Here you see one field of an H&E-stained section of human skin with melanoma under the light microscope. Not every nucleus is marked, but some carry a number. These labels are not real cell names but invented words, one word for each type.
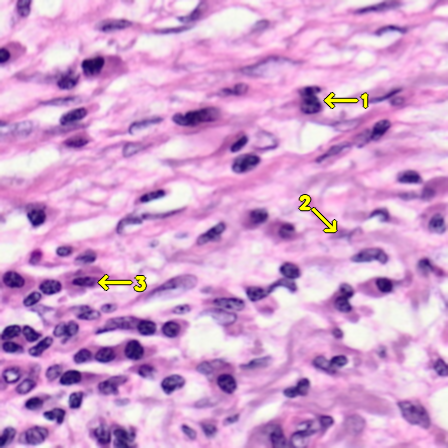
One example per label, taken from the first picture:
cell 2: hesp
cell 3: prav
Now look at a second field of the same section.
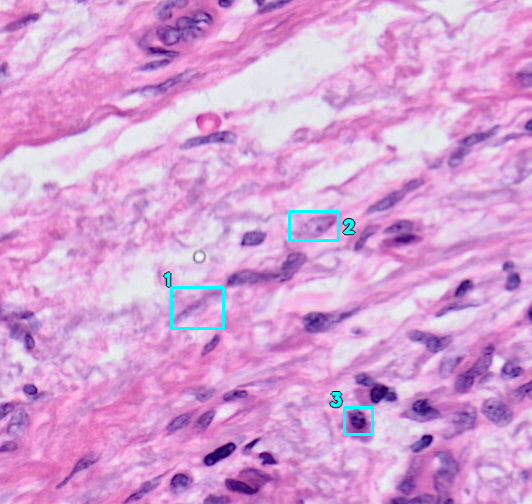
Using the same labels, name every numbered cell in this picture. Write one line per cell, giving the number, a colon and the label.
1: hesp
2: hesp
3: prav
